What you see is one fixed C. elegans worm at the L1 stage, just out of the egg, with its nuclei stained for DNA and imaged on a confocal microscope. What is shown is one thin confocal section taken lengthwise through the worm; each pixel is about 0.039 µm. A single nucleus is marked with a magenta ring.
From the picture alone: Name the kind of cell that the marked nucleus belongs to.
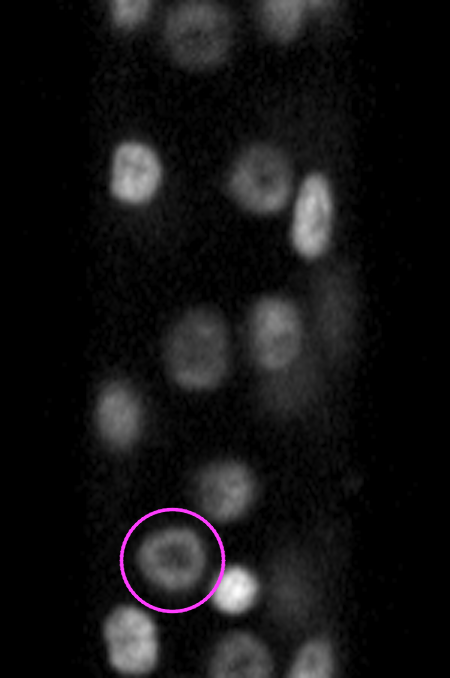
intestinal cell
